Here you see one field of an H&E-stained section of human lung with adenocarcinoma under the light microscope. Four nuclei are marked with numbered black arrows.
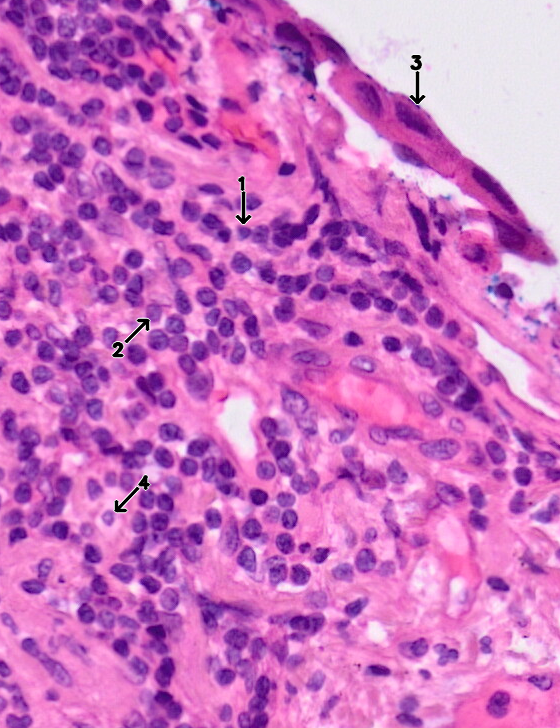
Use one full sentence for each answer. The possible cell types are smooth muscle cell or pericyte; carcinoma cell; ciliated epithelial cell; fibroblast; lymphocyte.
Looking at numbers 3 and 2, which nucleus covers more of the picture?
Nucleus 3 is the larger one, covering about 2.5 times the area of nucleus 2.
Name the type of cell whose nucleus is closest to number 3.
Closest to number 3 lies the nucleus of a carcinoma cell.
